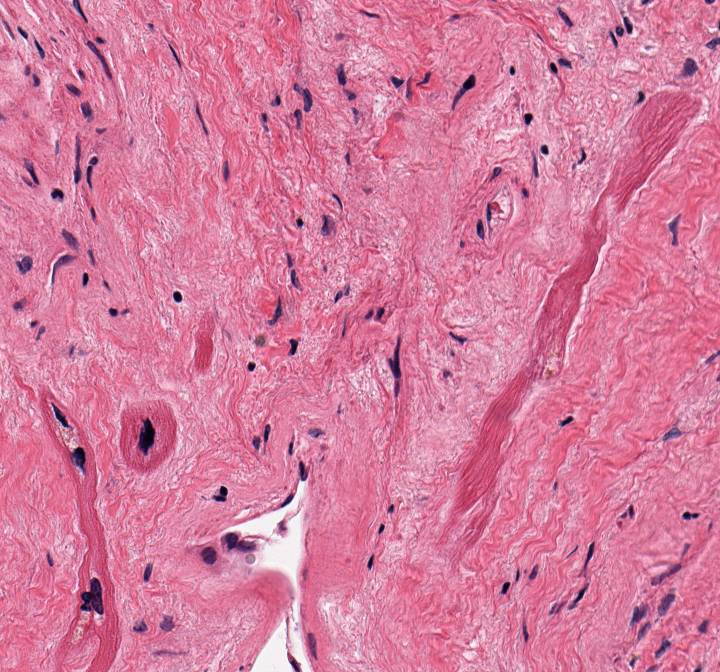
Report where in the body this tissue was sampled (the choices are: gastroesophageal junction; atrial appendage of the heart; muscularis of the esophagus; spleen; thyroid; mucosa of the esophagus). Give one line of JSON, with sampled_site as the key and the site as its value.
{"sampled_site": "atrial appendage of the heart"}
